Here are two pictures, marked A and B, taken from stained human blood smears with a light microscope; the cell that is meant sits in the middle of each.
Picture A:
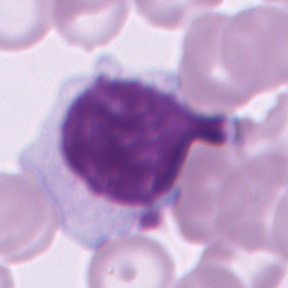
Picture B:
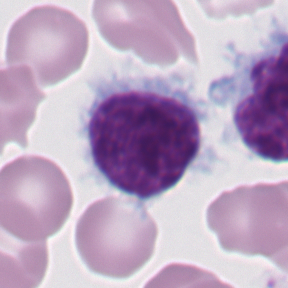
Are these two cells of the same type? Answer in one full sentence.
No, they differ: the cell is a typical lymphocyte in picture A and a hairy cell in picture B.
